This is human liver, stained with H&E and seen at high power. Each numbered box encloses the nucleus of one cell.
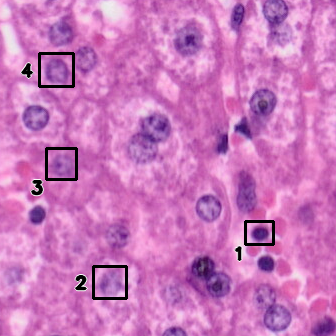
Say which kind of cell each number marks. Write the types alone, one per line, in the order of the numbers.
lymphocyte
hepatocyte
hepatocyte
hepatocyte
